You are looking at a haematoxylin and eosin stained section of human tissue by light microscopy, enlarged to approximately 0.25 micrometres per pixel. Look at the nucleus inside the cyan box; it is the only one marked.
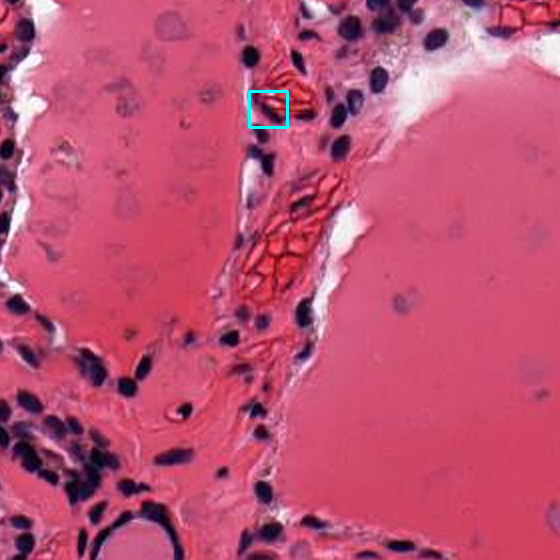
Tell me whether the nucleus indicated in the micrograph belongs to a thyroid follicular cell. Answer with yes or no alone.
no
